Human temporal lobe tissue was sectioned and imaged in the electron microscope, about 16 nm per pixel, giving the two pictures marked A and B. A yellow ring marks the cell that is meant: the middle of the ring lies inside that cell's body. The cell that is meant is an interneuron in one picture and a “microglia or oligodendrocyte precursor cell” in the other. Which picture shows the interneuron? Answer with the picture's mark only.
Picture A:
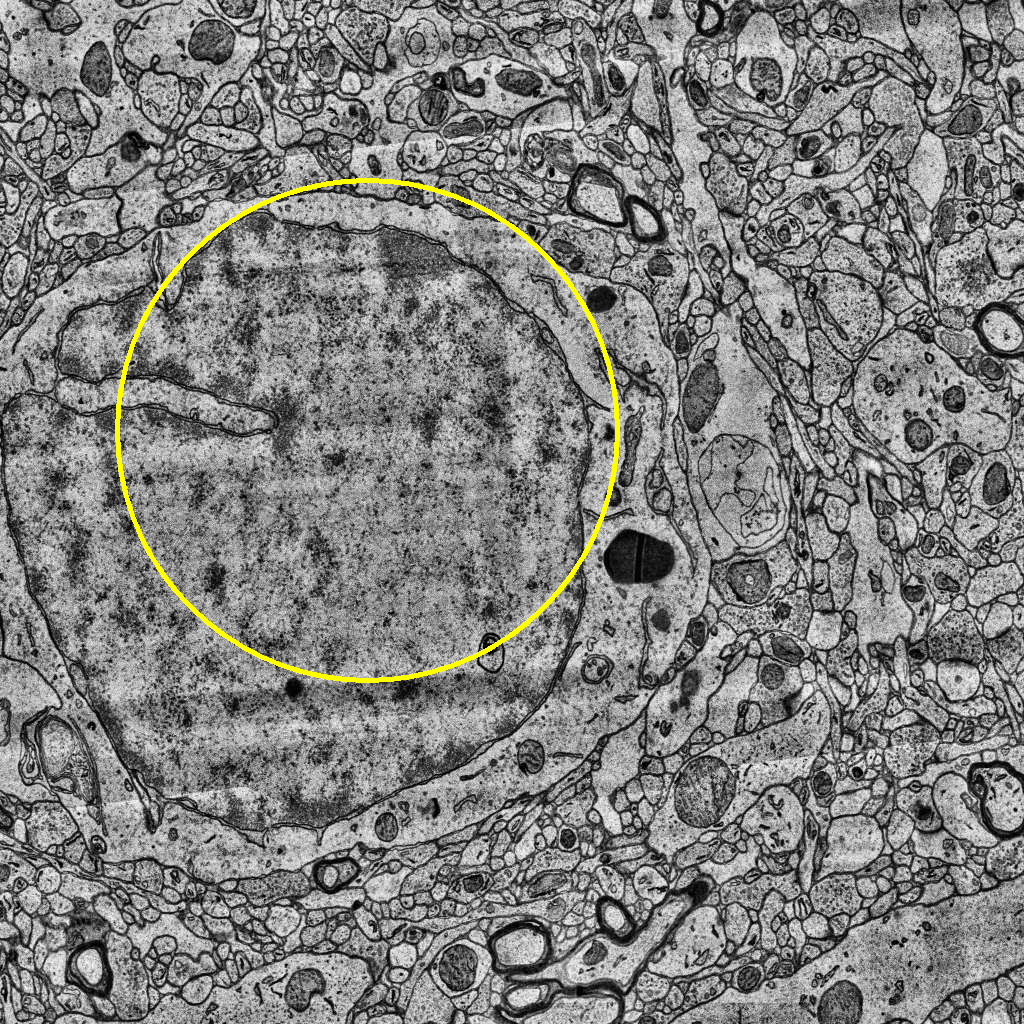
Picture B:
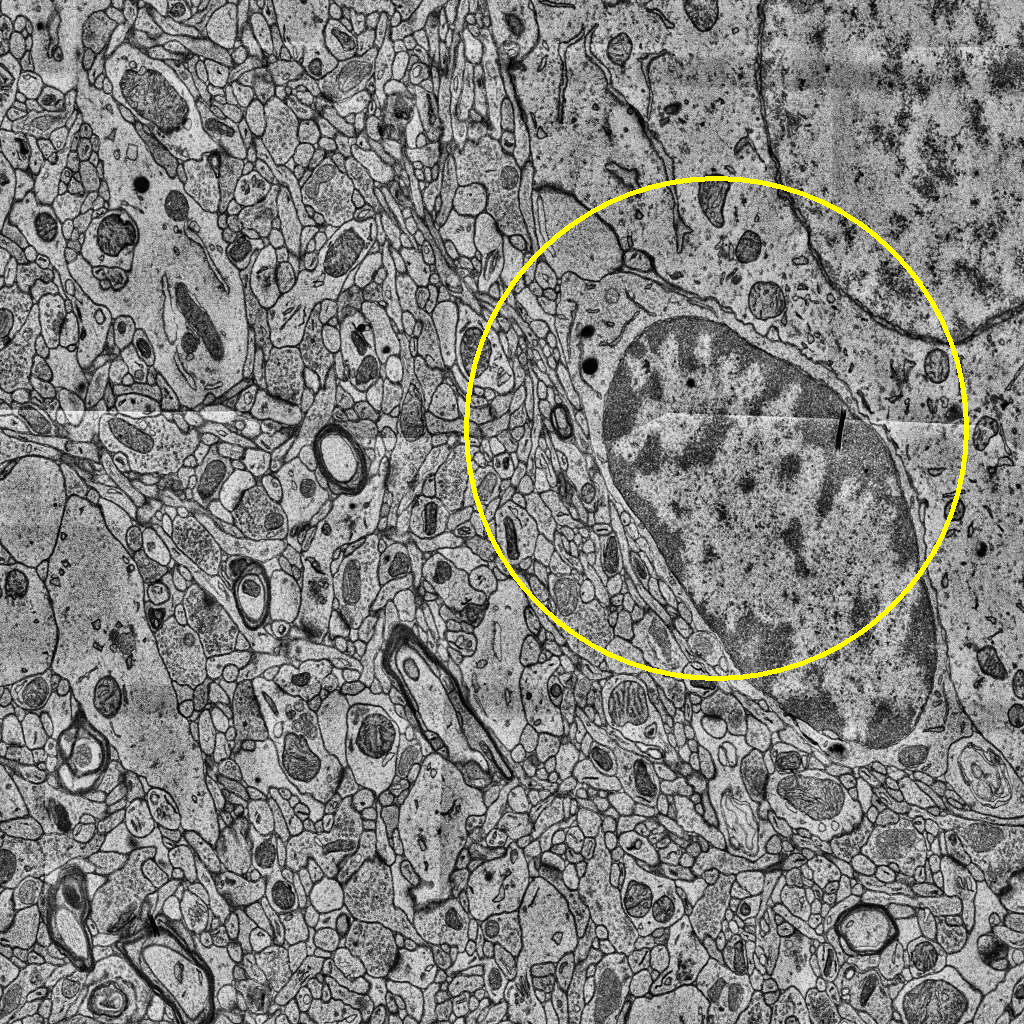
A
